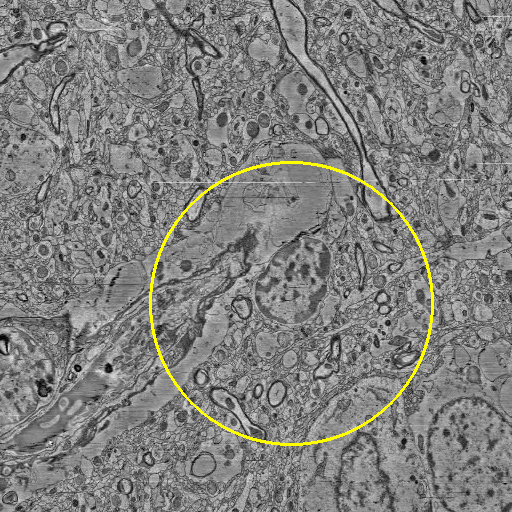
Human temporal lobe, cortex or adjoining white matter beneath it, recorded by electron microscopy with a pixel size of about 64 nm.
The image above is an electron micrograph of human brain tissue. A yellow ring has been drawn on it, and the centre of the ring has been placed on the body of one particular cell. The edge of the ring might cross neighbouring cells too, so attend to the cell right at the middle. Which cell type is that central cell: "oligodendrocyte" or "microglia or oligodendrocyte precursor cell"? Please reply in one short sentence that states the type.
The central cell in the ring is a microglial cell or oligodendrocyte precursor cell.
